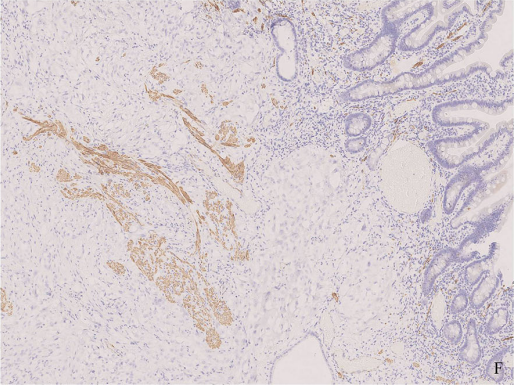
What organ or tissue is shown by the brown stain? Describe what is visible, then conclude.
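Brown-stained bundles of elongated fibres lie in a band. Intestinal mucosa with glands and villi lies beside the brown bundles. The surrounding tumor tissue is unstained.
Muscularis mucosa.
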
